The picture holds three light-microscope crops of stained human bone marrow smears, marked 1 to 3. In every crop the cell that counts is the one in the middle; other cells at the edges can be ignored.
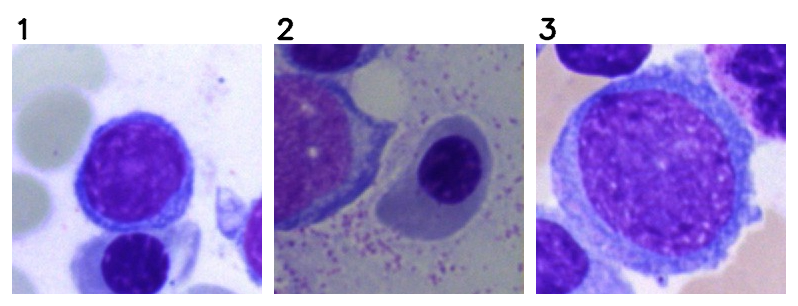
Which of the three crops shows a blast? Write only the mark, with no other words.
3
